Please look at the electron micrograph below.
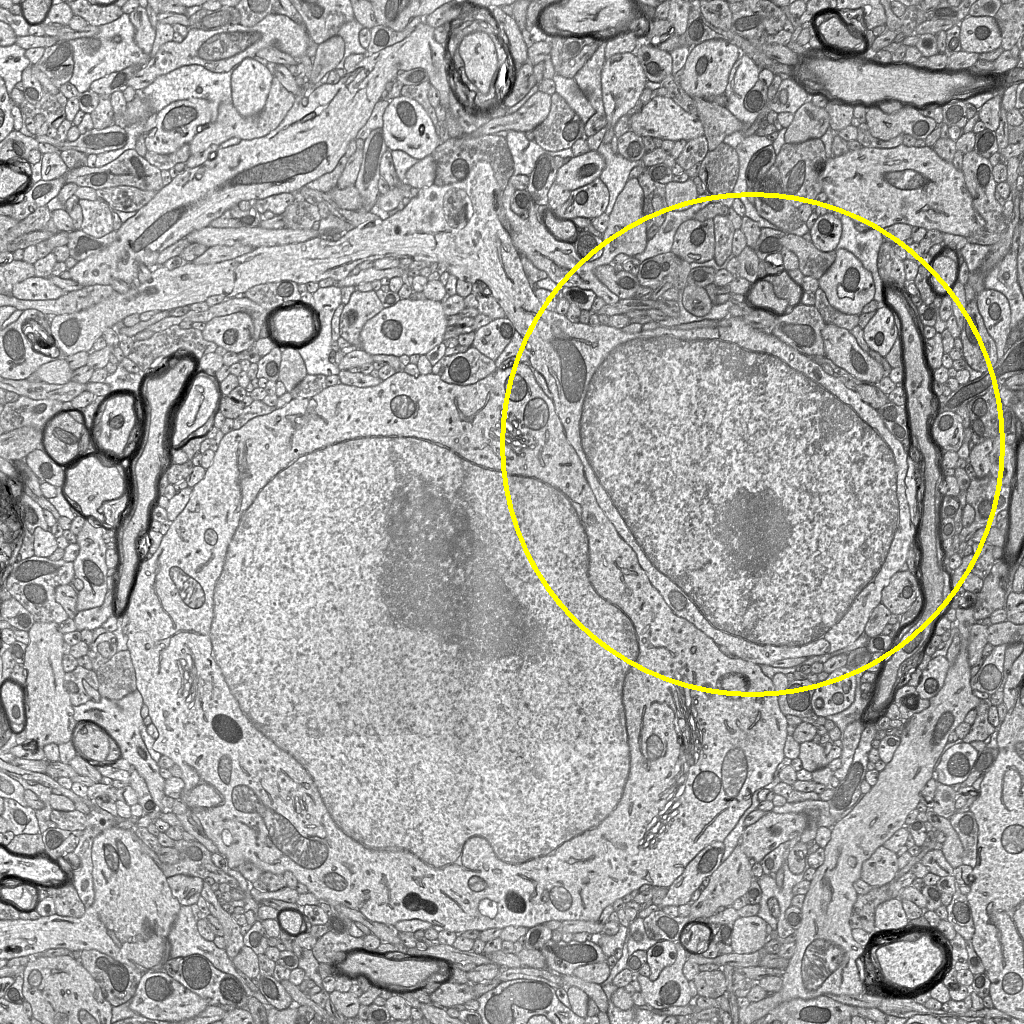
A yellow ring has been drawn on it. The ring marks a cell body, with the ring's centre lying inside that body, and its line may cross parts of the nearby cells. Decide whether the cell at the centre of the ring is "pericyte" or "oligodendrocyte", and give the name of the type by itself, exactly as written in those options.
oligodendrocyte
